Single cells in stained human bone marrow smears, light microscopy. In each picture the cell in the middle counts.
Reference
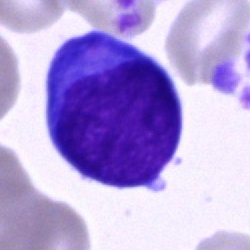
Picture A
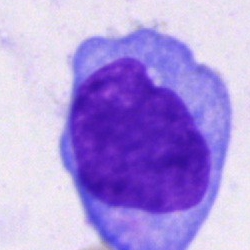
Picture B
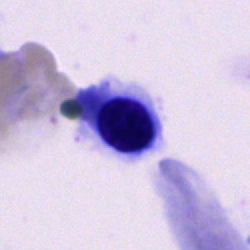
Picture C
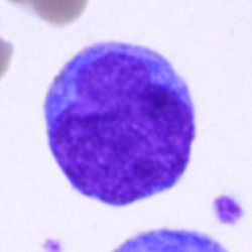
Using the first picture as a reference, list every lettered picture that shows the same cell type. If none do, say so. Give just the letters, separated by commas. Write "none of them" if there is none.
A, C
